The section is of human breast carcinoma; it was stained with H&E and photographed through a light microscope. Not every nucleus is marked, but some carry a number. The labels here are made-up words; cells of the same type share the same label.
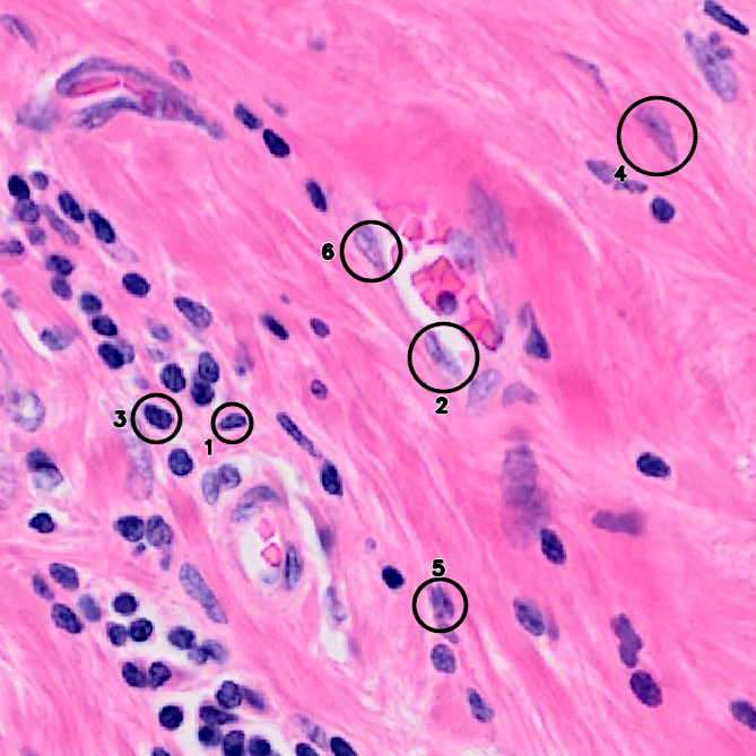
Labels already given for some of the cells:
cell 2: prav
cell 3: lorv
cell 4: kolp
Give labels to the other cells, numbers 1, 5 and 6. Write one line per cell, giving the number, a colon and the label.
1: lorv
5: lorv
6: prav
